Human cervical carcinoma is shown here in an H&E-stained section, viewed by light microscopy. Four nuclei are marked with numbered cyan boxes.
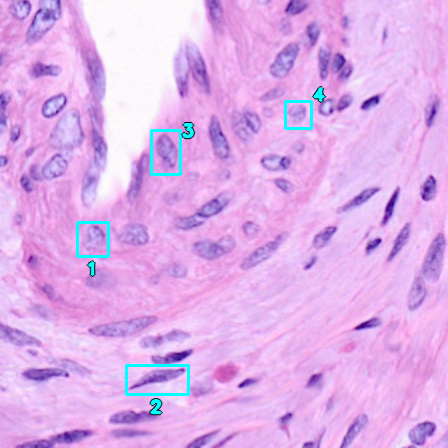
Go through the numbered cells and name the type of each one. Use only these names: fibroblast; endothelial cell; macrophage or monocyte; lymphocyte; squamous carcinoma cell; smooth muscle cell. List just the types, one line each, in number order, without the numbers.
smooth muscle cell
fibroblast
smooth muscle cell
smooth muscle cell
